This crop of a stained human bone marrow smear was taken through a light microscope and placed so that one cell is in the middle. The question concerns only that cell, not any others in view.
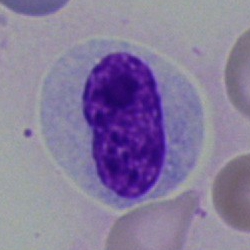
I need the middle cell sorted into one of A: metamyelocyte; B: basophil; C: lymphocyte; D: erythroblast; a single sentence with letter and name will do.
The best answer is option A, since the cell in the middle is a metamyelocyte.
